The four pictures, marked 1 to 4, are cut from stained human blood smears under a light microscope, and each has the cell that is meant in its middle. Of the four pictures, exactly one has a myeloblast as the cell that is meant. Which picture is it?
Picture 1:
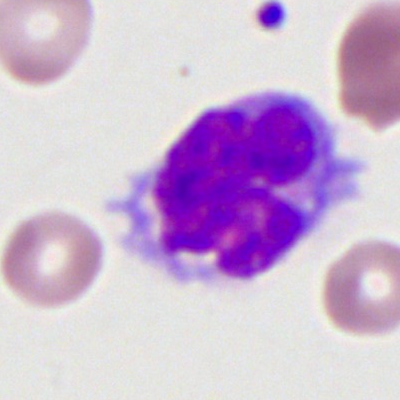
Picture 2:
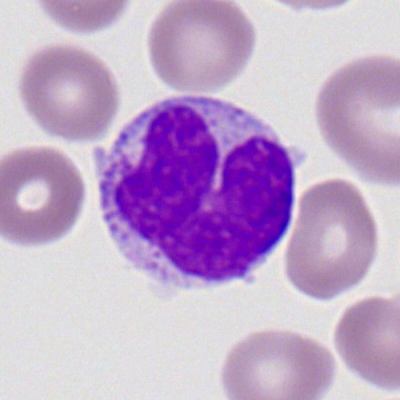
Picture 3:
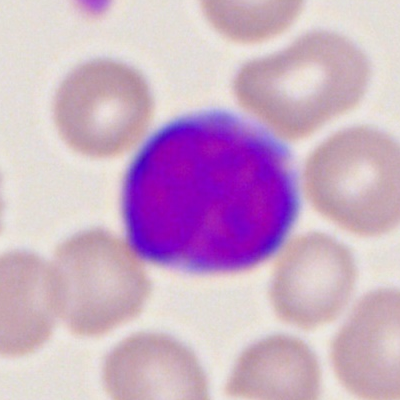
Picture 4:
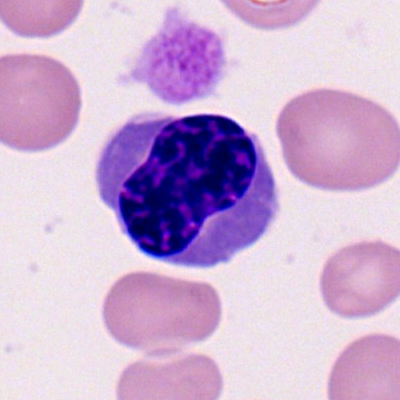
3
